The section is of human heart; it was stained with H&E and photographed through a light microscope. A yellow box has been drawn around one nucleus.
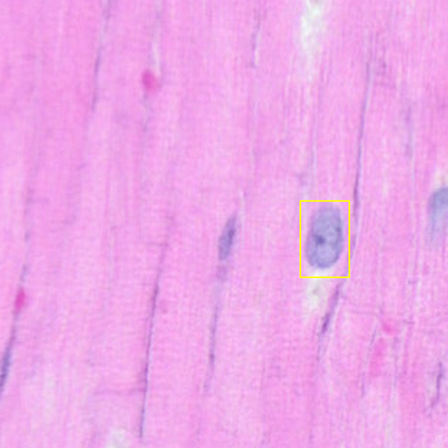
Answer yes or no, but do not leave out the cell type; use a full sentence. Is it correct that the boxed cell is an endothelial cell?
No, mark the boxed cell as a cardiomyocyte, not as an endothelial cell.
